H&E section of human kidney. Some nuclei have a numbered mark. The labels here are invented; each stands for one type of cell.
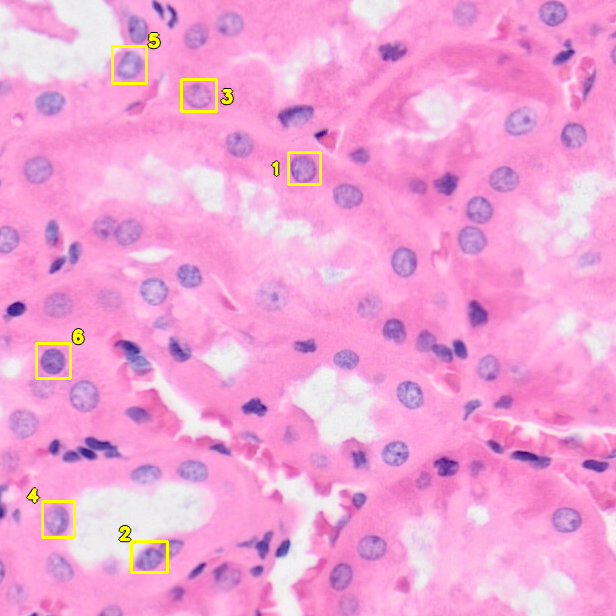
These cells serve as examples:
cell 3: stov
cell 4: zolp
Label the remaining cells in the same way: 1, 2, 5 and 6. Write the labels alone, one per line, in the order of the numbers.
stov
zolp
zolp
stov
